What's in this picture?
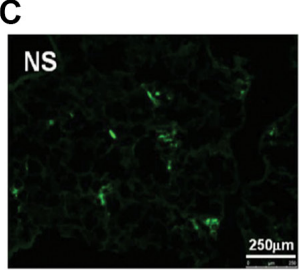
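Thin section of lung showing a faint green lacy network of thin walls around open air spaces. A few small, bright green, elongated cells lie scattered within the walls, singly or in small groups.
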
